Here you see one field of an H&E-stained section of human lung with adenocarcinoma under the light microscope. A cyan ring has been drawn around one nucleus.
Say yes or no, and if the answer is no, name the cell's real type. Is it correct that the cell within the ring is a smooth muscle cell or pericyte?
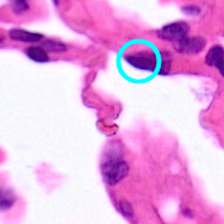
No, it is a type I pneumocyte.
